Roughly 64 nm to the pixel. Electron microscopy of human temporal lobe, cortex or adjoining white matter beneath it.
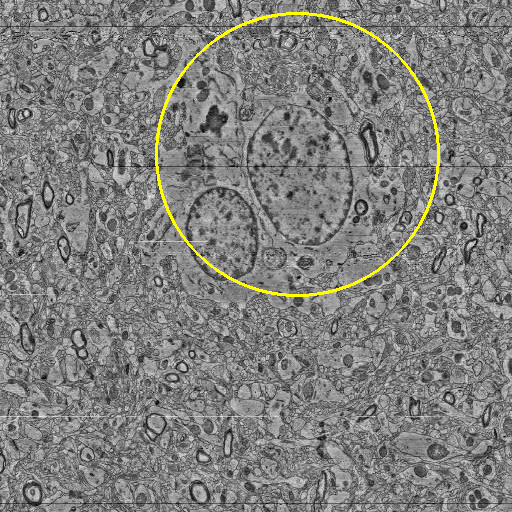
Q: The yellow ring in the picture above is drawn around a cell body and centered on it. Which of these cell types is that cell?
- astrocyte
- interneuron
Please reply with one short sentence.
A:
The cell body at the ring's center belongs to an astrocyte.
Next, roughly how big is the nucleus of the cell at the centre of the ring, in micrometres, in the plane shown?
Approximately 9 micrometres long and 7 micrometres wide, in this plane.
